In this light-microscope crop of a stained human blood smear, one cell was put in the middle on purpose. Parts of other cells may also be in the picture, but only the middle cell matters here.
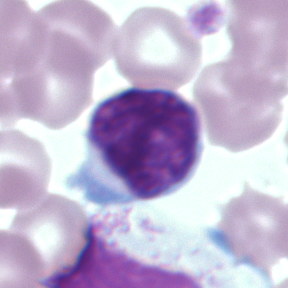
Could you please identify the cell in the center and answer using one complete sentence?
The cell around which this crop is centred is a typical lymphocyte.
